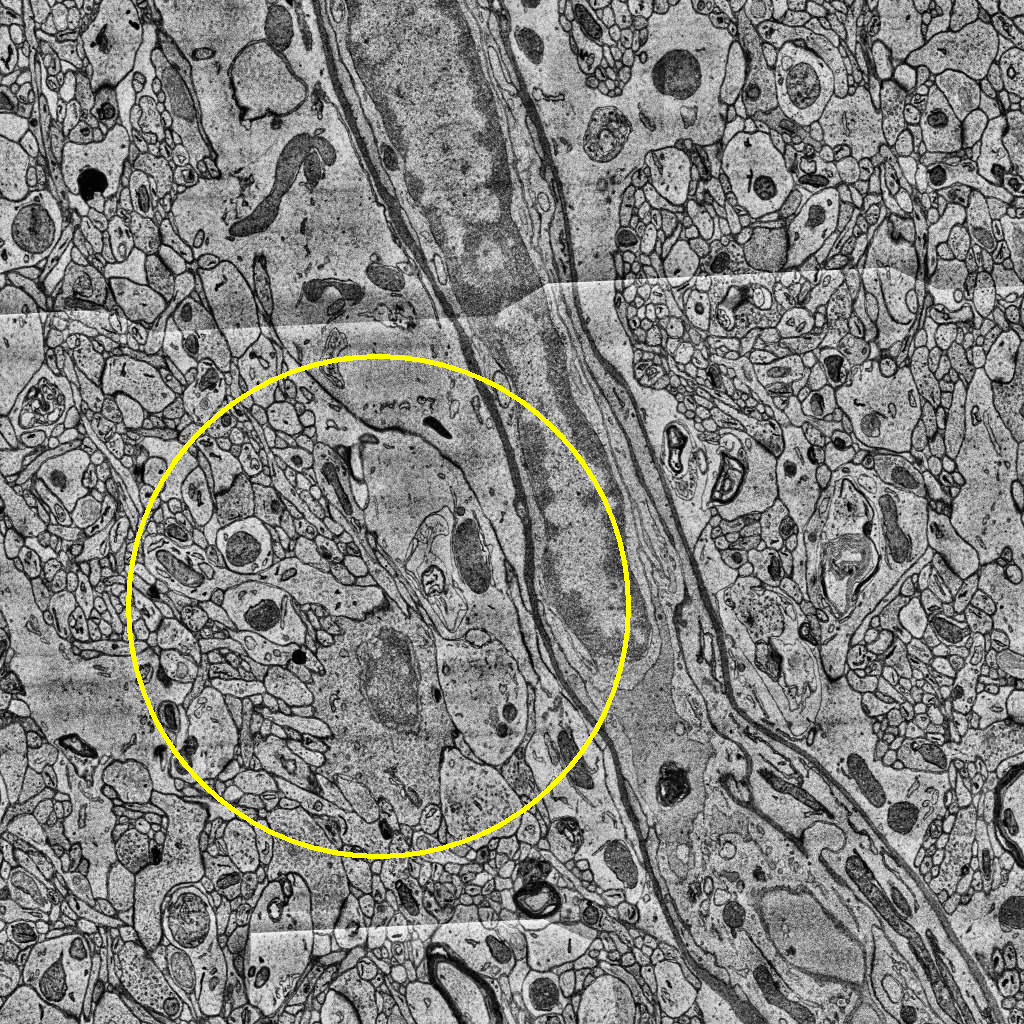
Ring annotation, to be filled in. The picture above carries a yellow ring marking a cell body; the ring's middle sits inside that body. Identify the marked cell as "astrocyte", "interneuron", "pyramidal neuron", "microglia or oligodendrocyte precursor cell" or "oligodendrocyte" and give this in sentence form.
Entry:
The cell at the middle of the ring is an oligodendrocyte.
